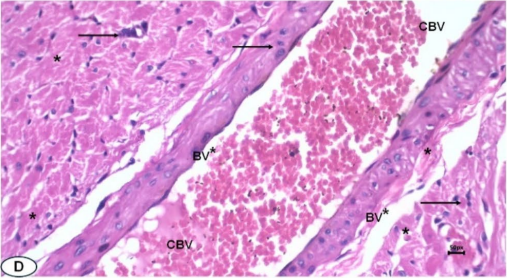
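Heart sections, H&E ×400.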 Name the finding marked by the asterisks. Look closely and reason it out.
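The pink muscle tissue beside the asterisks is broken up and irregular. The fibers lack a regular parallel arrangement.
Conclusion: disarrayed cardiac myofibers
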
